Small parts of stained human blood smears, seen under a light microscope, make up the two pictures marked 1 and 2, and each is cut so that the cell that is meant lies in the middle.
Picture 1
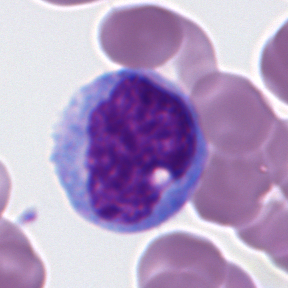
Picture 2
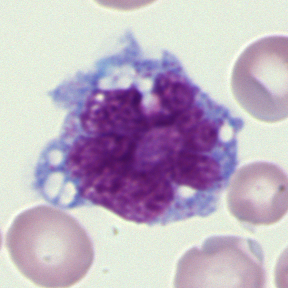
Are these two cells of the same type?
yes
